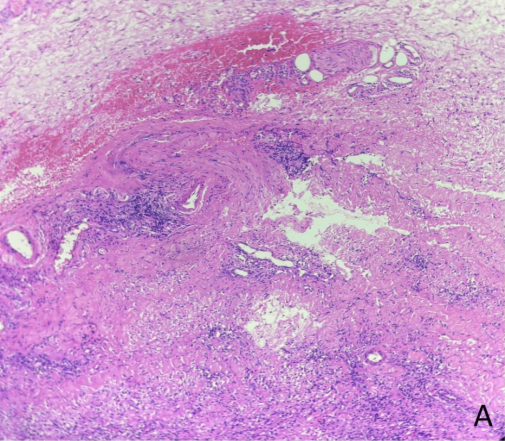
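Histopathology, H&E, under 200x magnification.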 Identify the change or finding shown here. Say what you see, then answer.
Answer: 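Focal haemorrhage. A band of bright red, cell-poor material runs across the upper part of the field. The red material sits within pale pink fibrous tissue.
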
